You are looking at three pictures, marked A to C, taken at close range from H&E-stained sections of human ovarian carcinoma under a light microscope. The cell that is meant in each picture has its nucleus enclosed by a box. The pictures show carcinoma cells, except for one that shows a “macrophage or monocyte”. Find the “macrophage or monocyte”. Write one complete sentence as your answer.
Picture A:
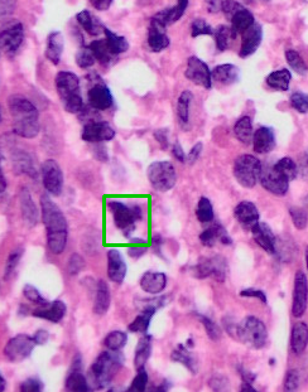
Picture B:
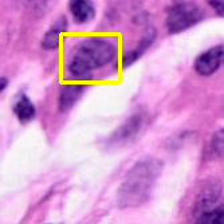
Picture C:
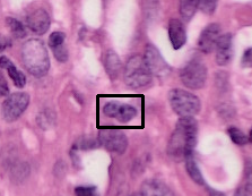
It is picture C that shows the “macrophage or monocyte”.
